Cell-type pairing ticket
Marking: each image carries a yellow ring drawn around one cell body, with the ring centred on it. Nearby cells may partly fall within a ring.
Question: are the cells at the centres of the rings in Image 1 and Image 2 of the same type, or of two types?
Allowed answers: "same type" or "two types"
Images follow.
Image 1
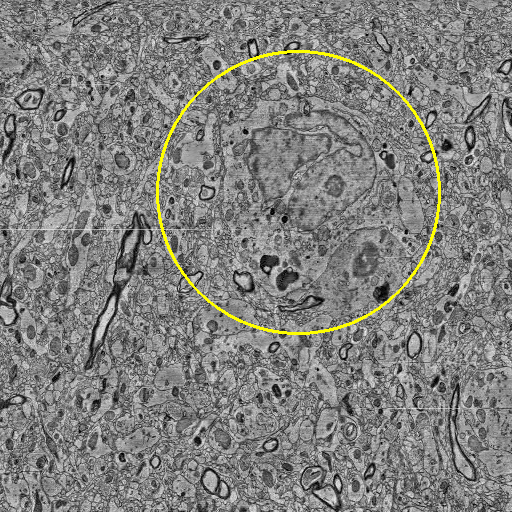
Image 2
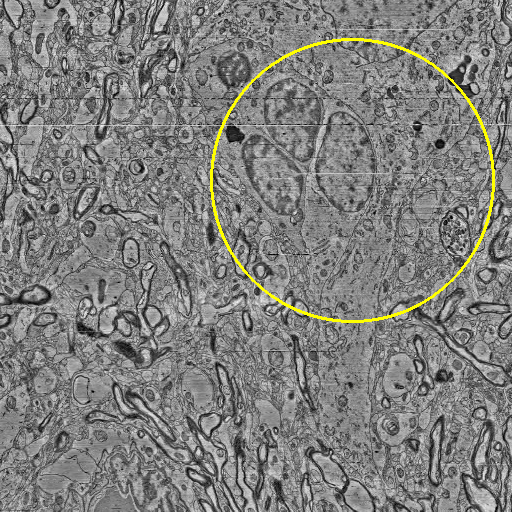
two types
